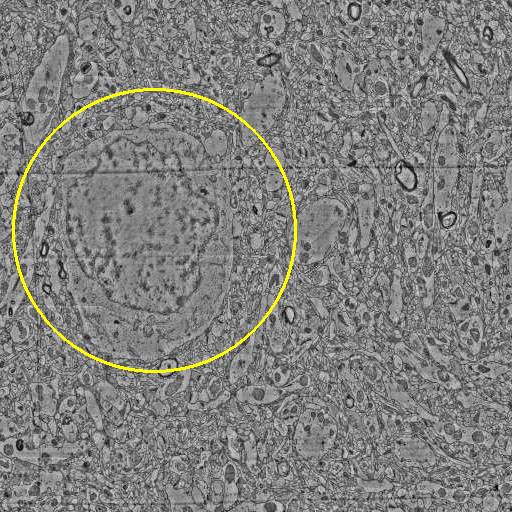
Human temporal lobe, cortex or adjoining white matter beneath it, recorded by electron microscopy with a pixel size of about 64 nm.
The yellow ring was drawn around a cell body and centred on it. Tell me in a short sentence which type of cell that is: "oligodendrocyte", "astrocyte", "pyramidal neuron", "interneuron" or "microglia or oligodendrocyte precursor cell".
The cell at the ring's centre is an interneuron.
